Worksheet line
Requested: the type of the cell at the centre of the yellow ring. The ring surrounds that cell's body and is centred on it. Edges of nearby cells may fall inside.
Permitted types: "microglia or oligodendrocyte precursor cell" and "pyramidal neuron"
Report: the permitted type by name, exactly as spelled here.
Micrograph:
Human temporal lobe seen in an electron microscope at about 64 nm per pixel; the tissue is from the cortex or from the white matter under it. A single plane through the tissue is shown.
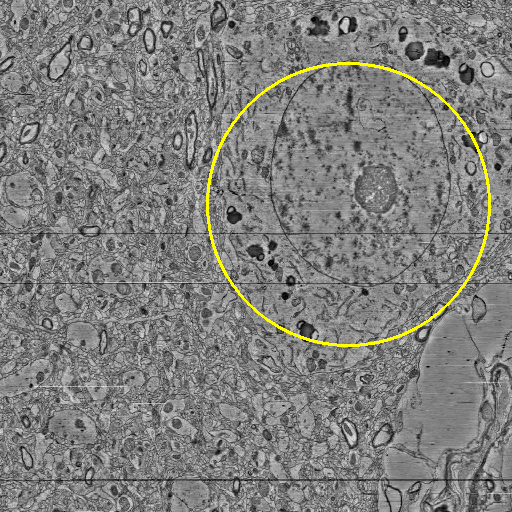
pyramidal neuron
